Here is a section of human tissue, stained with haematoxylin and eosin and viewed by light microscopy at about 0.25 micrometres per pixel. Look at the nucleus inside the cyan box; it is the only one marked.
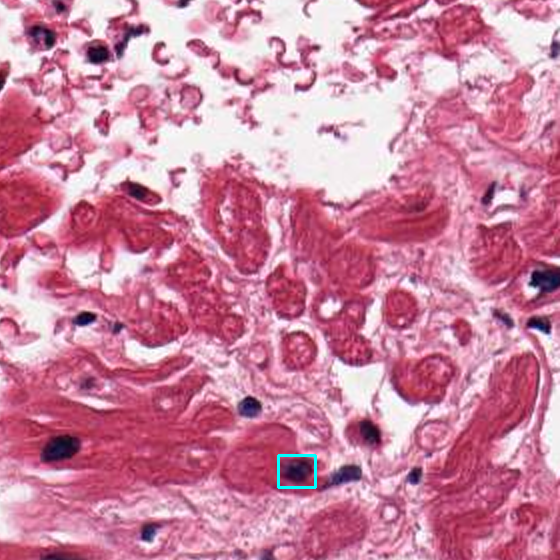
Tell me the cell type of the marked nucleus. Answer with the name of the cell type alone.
cardiomyocyte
